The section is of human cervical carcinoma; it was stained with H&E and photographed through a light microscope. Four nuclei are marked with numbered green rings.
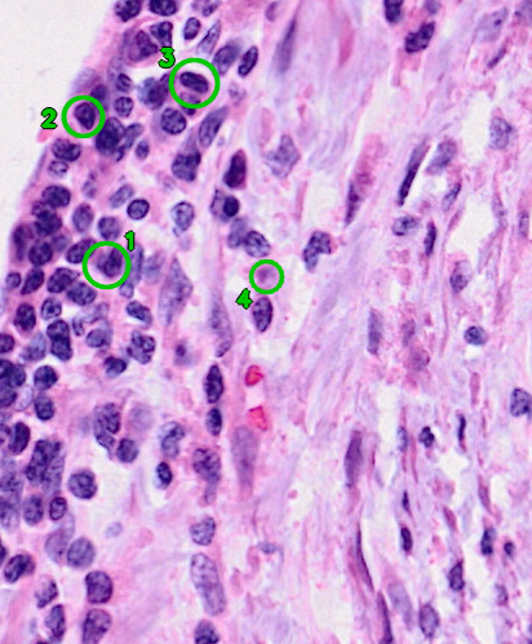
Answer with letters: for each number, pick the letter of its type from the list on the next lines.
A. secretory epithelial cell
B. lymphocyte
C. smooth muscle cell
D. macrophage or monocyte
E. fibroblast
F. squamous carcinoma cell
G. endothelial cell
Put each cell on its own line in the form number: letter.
1: B
2: B
3: B
4: D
